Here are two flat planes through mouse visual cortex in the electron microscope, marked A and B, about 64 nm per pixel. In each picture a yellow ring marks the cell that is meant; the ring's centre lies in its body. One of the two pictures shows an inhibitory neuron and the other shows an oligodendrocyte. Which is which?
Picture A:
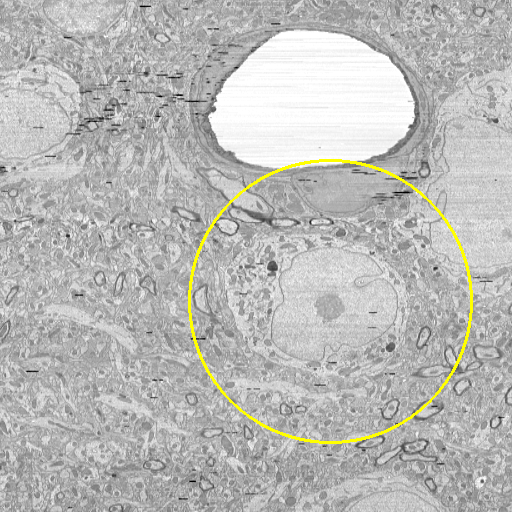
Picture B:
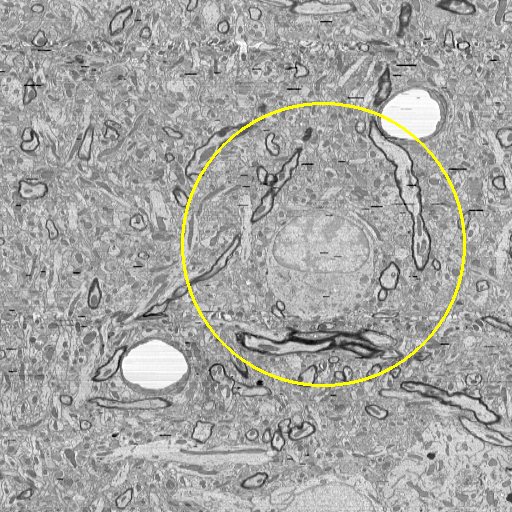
Picture B shows an oligodendrocyte, while picture A shows an inhibitory neuron.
